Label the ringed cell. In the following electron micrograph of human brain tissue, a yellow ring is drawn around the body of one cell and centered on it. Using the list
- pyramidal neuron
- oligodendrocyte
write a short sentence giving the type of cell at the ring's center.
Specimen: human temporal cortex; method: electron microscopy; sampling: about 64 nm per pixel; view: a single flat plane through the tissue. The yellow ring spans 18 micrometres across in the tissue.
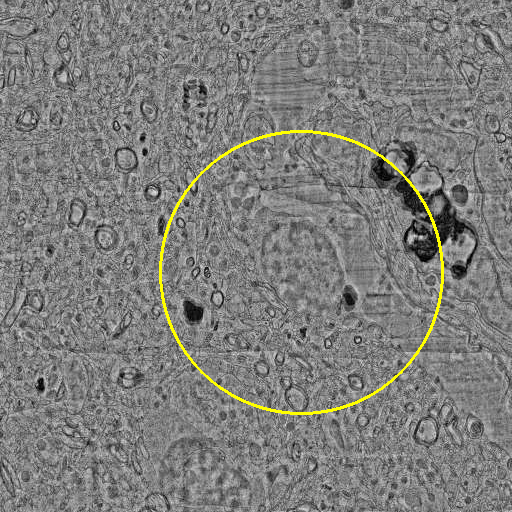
The cell body at the ring's center is that of an oligodendrocyte.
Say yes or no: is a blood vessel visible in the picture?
Yes, a blood vessel shows in the picture.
